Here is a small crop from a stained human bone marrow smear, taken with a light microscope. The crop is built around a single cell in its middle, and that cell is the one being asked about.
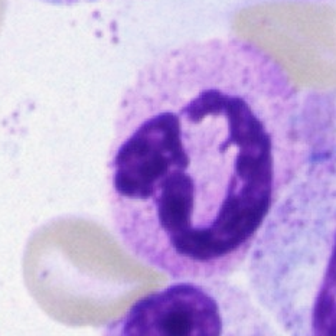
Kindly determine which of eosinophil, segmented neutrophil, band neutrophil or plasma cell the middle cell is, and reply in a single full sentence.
Framed in the middle of the crop is a segmented neutrophil.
